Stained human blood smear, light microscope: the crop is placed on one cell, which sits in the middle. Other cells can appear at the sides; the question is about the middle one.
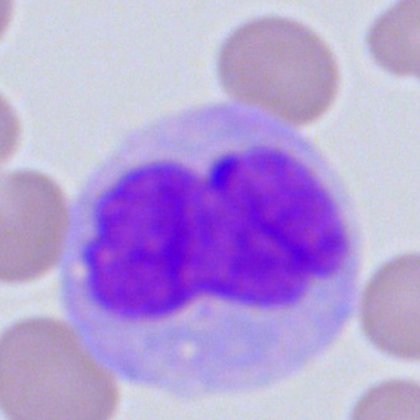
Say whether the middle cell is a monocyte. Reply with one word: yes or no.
yes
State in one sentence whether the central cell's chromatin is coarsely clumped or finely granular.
There is no coarse clumping; the chromatin stays fine throughout.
